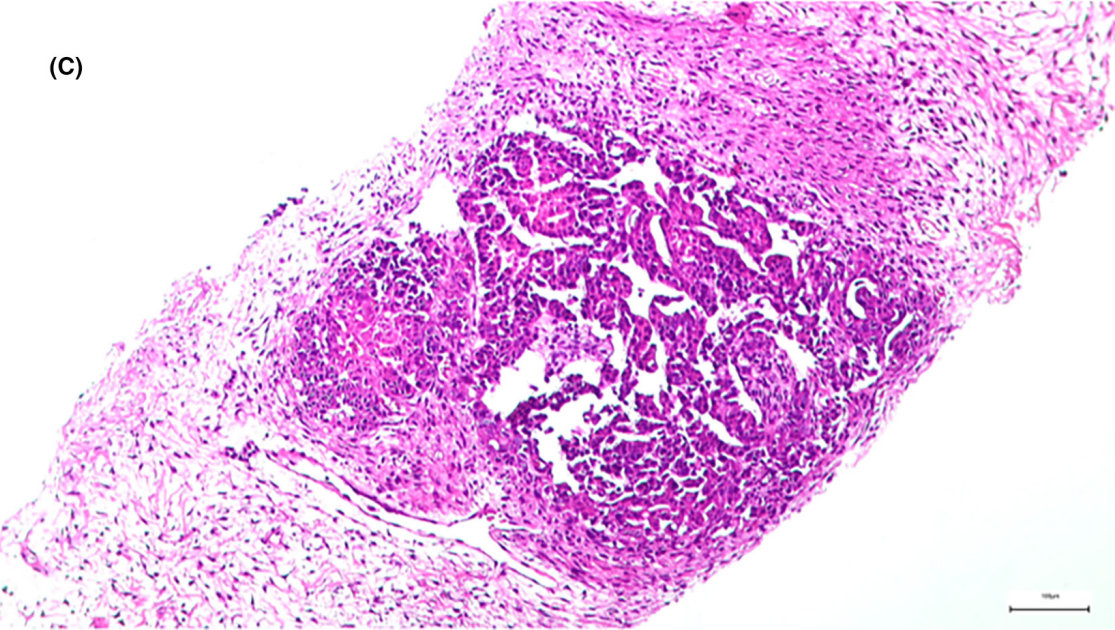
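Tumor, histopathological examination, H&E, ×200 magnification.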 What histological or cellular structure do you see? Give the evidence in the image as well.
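Fibrous stroma. Pale pink wavy fibrous tissue with scattered spindle nuclei surrounds the tumor nest. The stroma lies at the edges of the fragment.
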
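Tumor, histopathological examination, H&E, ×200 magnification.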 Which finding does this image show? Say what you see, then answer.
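Central nest of dark purple epithelial cells arranged in branching, frond-like projections. Narrow clefts separate the cell clusters.
Papillary growth pattern.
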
